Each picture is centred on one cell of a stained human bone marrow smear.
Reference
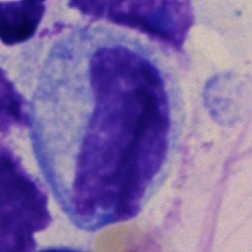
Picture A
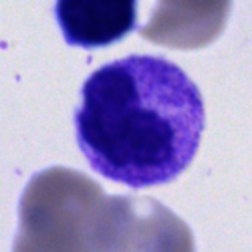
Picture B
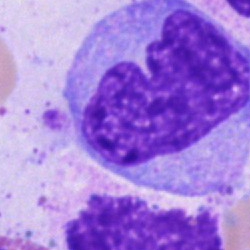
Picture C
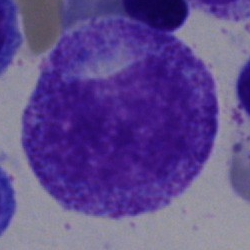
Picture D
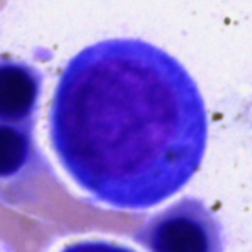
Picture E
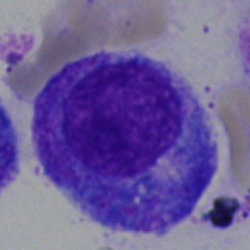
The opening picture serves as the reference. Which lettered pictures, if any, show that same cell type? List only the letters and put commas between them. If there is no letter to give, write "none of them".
A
